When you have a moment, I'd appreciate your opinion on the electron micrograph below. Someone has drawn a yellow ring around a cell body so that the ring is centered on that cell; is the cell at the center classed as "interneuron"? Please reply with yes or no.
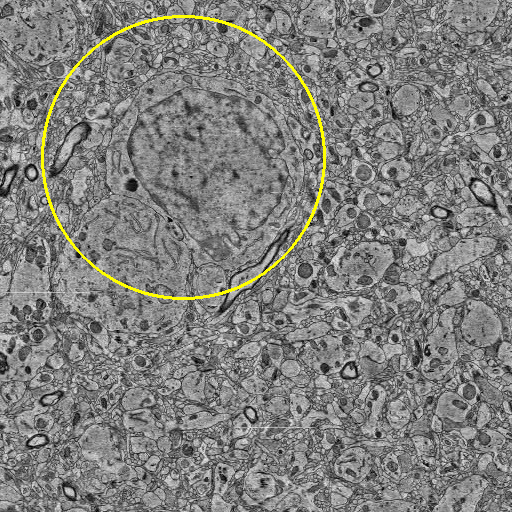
Yes, that cell is of the named kind.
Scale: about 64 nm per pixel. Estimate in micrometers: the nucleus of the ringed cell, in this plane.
Roughly 10 micrometers across in this plane.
